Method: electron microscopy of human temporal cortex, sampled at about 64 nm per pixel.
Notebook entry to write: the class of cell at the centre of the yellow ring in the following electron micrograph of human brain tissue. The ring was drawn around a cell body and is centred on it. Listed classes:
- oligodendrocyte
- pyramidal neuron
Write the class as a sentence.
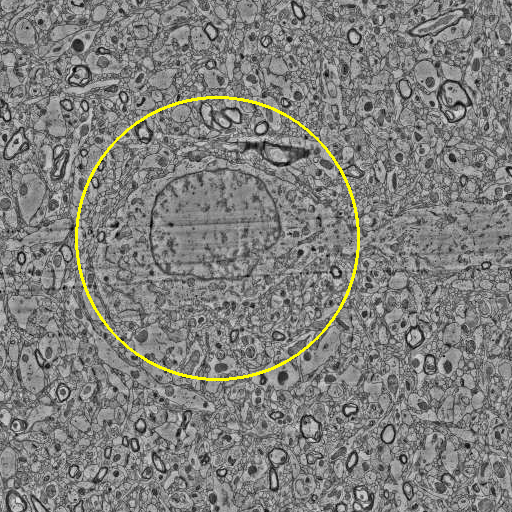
The yellow ring sits on a pyramidal neuron.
